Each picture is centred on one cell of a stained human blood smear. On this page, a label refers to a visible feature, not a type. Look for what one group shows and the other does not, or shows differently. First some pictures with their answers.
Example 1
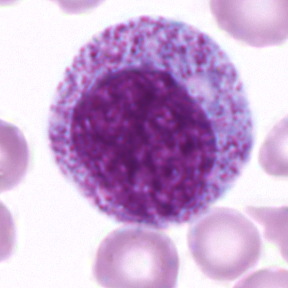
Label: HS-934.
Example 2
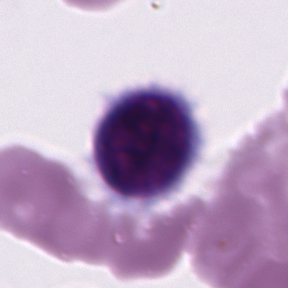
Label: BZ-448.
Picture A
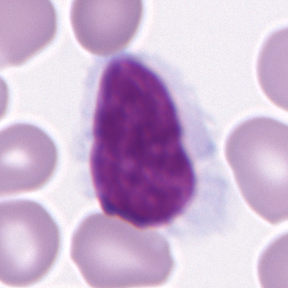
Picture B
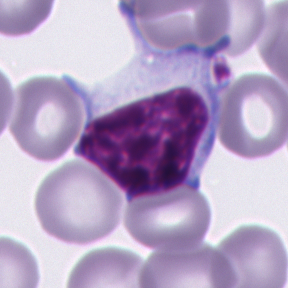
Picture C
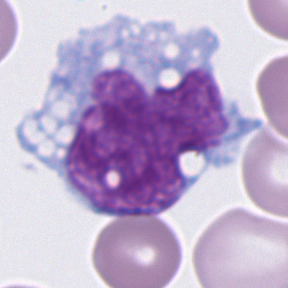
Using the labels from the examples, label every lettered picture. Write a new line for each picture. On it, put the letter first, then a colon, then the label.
A: BZ-448.
B: HS-934.
C: HS-934.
